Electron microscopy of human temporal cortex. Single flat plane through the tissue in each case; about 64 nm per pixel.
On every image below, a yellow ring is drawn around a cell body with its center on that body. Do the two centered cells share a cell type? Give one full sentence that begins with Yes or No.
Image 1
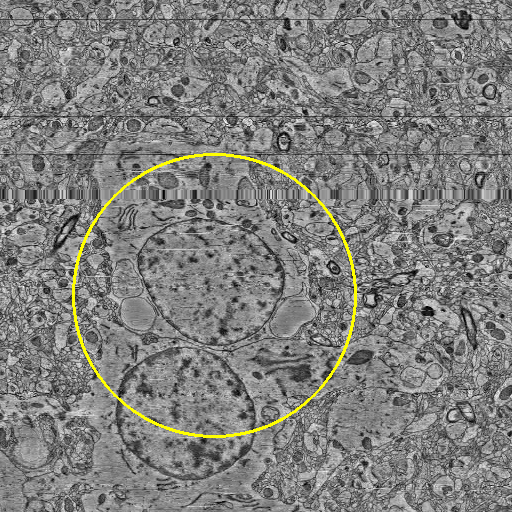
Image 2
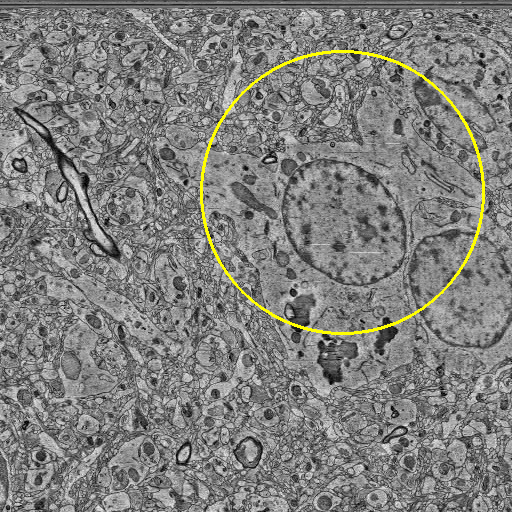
Yes, the centered cells in the two images are of a single cell type.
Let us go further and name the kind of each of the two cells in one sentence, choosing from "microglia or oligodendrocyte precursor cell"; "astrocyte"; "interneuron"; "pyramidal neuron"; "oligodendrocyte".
Both cells are the same kind, each one being an astrocyte.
